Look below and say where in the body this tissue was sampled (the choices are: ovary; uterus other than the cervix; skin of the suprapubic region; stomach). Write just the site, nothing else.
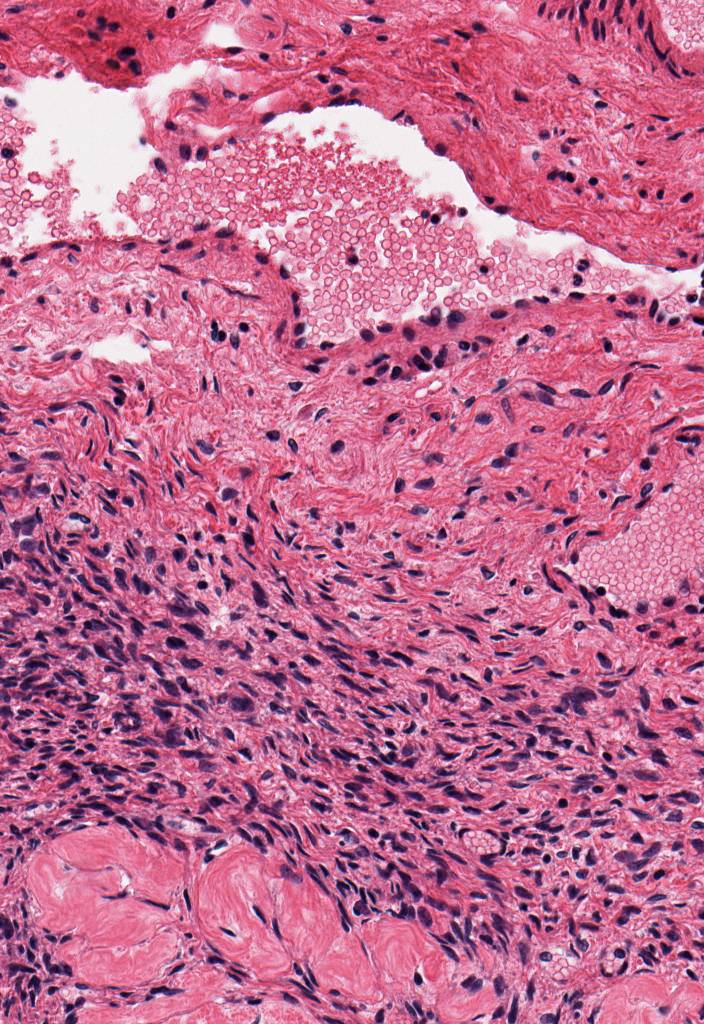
ovary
